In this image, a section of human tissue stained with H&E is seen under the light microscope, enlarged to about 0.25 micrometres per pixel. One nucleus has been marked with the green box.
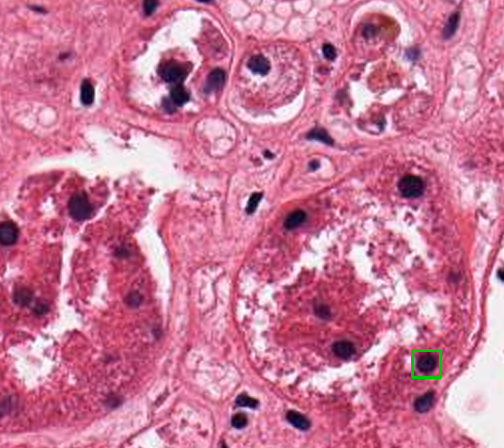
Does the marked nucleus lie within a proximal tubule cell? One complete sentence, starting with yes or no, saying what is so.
Yes, the marked nucleus is one belonging to a proximal tubule cell.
